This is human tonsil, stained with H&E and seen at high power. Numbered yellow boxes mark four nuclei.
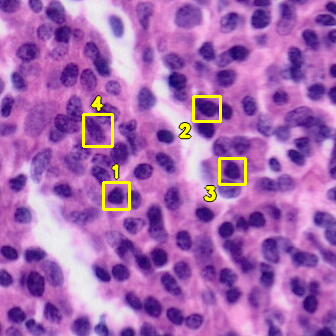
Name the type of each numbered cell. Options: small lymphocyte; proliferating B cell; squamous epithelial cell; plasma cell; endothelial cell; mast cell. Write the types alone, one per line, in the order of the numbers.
plasma cell
plasma cell
plasma cell
squamous epithelial cell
